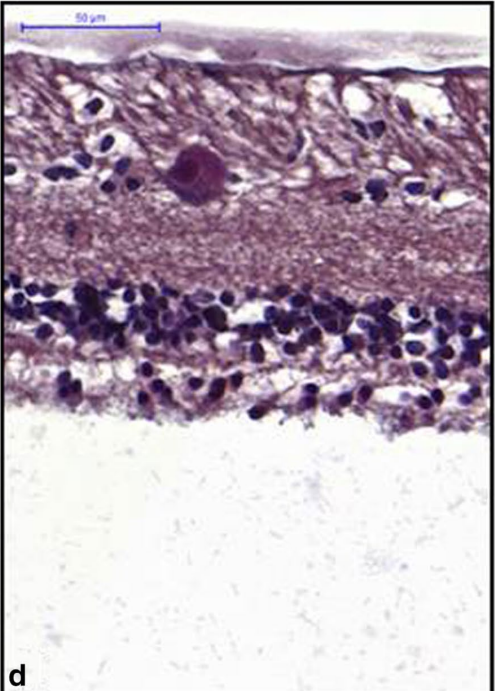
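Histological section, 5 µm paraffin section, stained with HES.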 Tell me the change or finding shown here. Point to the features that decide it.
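No striated layer of photoreceptor segments lies beneath the outermost row of nuclei; the section ends in empty space. The outermost nuclear layer is only a few nuclei thick and irregular, unlike a dense thick layer. So: retinal degeneration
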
